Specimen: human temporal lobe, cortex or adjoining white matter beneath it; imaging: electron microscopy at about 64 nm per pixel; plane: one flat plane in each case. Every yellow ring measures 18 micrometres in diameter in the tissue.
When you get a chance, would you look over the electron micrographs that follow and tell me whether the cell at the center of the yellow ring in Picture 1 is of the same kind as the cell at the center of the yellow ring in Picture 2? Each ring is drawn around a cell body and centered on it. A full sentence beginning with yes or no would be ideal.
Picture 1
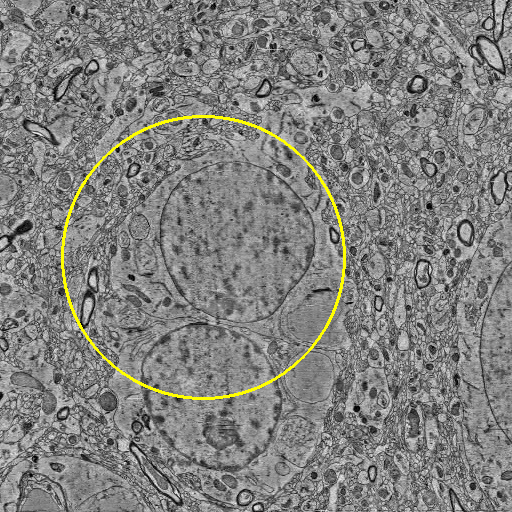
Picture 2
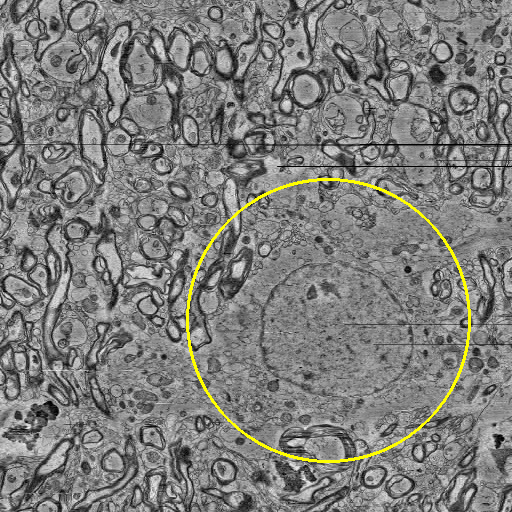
Yes, the two cells are of the same kind.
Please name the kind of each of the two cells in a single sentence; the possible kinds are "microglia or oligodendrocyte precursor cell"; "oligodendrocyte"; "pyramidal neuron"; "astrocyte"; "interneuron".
Each of the two cells is an astrocyte.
